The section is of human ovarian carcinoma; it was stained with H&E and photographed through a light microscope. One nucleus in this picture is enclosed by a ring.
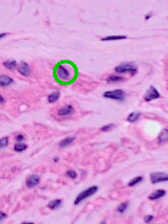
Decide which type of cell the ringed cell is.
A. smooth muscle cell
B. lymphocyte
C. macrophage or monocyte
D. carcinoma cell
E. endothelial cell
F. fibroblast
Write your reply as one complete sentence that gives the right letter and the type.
Here the ringed cell is a smooth muscle cell; pick option A.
